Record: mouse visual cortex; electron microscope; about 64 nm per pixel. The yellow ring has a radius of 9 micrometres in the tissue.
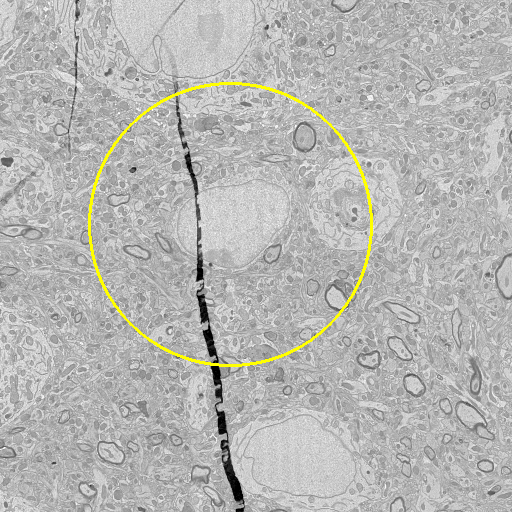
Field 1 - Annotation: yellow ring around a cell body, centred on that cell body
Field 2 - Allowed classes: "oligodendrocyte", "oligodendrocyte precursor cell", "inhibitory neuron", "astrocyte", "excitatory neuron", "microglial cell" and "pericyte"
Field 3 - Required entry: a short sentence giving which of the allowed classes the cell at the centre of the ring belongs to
The centred cell is an astrocyte.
